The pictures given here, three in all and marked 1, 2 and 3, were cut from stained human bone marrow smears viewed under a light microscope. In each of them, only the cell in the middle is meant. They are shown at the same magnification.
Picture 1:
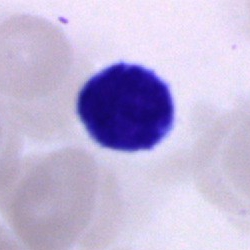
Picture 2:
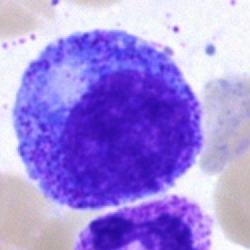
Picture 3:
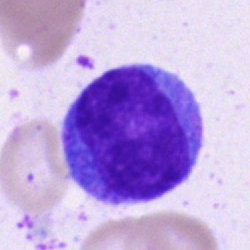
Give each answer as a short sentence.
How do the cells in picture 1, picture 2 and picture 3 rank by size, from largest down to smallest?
Largest first: 2, 3, 1.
